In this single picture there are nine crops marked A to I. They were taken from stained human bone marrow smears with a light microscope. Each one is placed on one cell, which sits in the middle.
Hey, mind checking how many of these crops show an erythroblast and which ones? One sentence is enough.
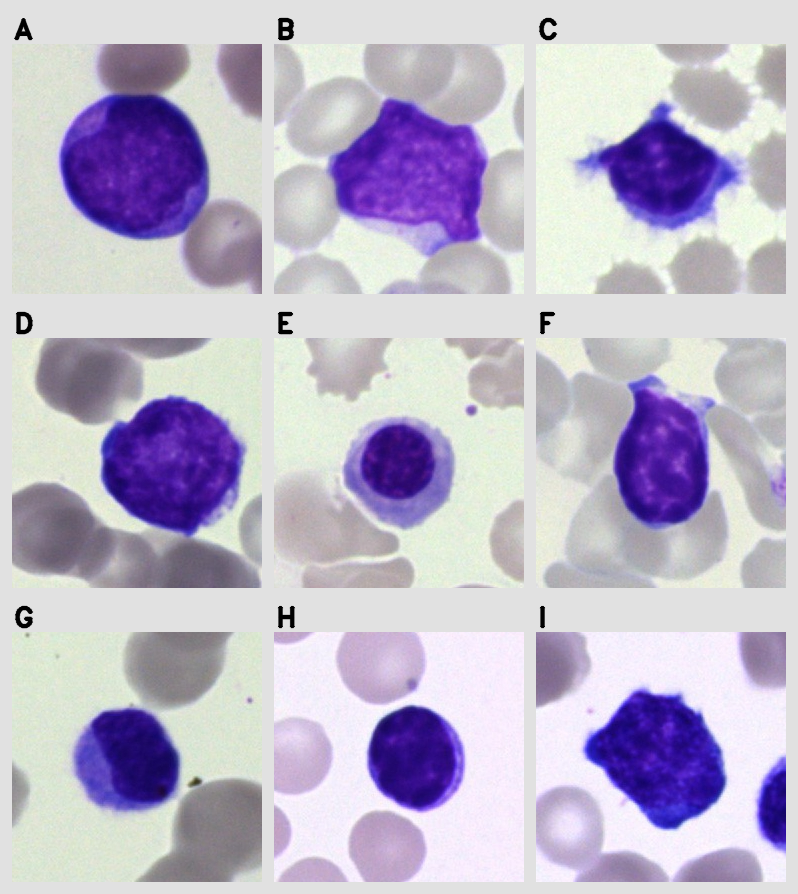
The count is one: crop E is the only crop with an erythroblast.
